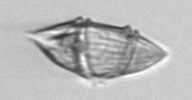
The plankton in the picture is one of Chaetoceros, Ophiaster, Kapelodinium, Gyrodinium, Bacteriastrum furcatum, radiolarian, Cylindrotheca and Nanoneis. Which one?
Gyrodinium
